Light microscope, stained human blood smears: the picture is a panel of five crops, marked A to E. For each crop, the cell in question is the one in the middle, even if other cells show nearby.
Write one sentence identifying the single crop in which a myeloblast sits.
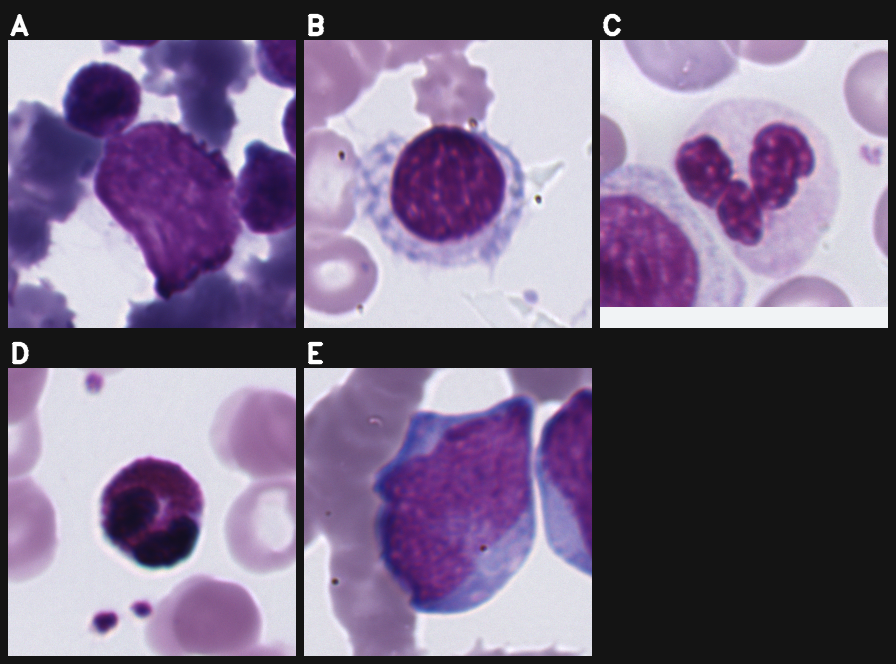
Crop E is the crop whose central cell is a myeloblast.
